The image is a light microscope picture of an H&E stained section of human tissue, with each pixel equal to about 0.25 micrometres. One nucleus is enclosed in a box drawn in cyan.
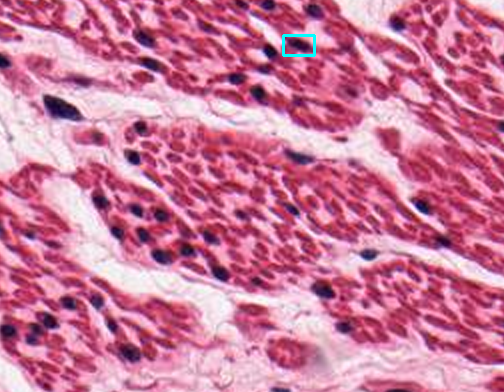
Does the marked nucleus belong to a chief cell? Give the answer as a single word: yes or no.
no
